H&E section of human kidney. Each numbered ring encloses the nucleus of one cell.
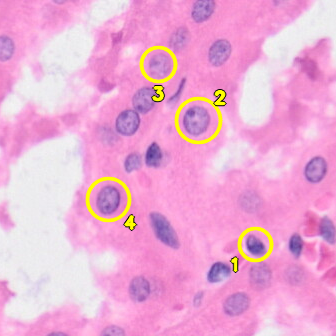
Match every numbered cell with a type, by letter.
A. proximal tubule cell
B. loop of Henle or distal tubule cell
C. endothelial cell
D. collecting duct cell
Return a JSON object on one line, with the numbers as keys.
{"1": "C", "2": "A", "3": "A", "4": "A"}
